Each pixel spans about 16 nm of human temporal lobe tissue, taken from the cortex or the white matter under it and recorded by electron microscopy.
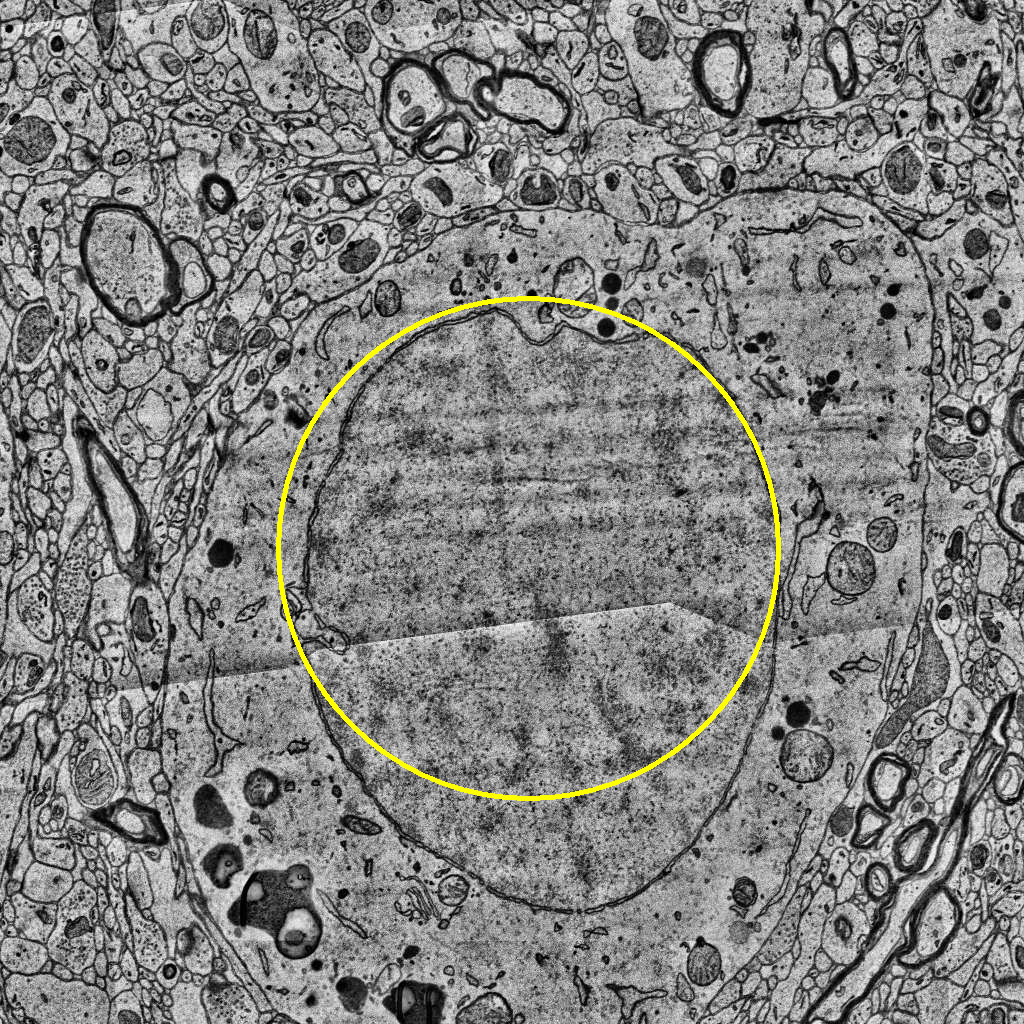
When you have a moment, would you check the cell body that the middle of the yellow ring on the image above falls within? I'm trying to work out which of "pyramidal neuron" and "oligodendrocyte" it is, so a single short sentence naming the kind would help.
This cell body belongs to a pyramidal neuron.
